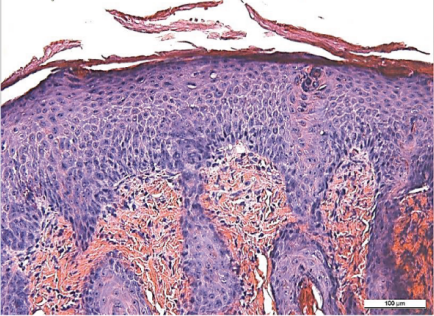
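Skin with a greatly thickened epidermis of many layers of purple-staining keratinocytes. Detached pink flakes of cornified layer lie over the surface.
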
